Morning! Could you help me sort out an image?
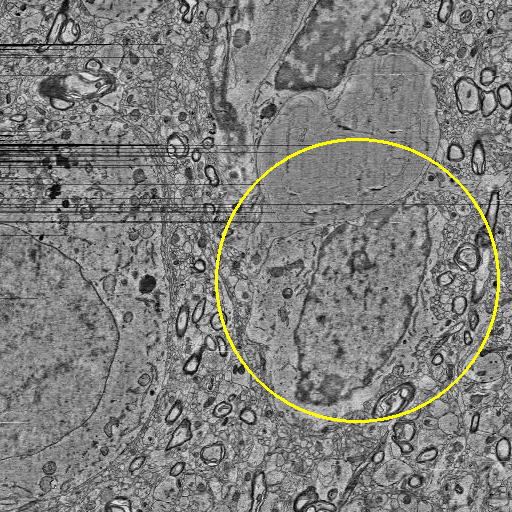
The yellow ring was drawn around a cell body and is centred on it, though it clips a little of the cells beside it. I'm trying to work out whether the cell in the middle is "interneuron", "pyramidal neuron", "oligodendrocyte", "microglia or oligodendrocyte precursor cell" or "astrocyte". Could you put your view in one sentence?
The ringed cell body is that of a microglial cell or oligodendrocyte precursor cell.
